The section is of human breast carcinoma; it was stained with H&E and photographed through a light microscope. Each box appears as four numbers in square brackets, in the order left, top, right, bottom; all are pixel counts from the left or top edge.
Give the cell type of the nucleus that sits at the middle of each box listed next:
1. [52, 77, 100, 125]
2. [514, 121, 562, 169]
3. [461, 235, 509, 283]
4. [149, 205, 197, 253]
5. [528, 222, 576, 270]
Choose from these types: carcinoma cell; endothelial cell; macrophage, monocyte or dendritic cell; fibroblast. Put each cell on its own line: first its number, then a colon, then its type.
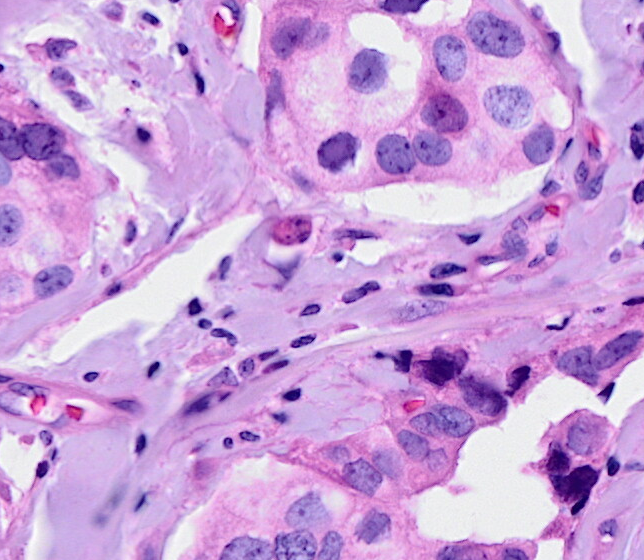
1: fibroblast
2: carcinoma cell
3: endothelial cell
4: fibroblast
5: endothelial cell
